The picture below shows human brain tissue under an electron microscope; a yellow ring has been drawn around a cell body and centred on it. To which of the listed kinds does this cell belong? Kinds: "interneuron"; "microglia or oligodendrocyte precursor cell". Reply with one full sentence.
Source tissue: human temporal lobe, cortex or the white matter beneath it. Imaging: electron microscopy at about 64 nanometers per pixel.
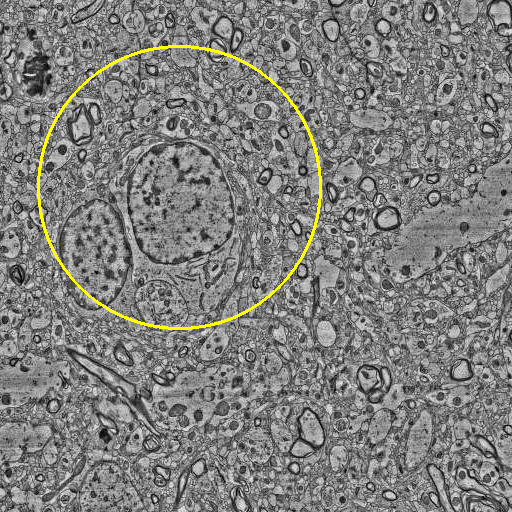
It is a microglial cell or oligodendrocyte precursor cell that the yellow ring in the picture is centred on.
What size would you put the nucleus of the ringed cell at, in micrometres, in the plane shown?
In this plane the nucleus is about 8 micrometres across.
